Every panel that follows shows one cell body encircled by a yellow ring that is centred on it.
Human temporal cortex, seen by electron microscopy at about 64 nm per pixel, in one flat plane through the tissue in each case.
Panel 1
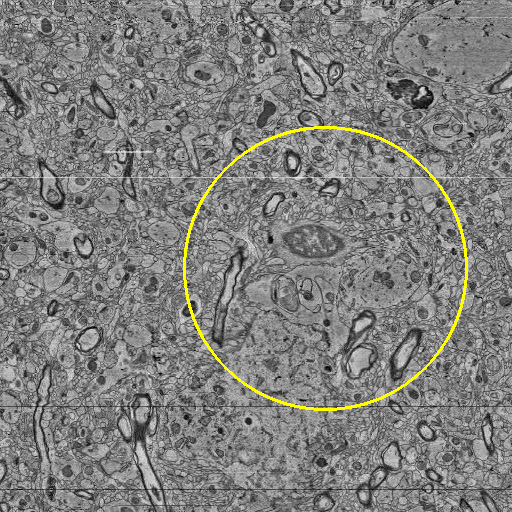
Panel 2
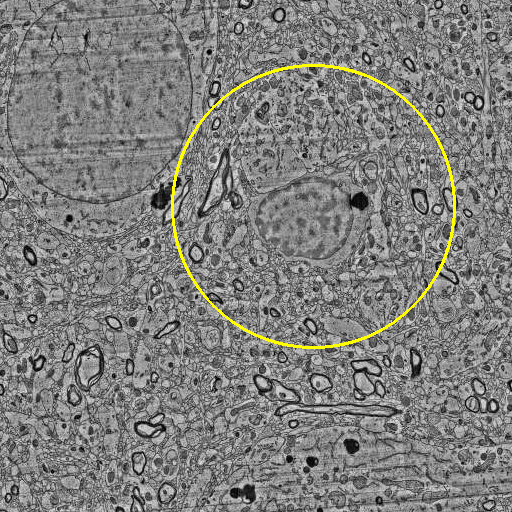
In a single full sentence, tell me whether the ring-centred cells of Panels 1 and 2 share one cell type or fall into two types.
In Panel 1 and Panel 2, the cells at the ring centres share one cell type.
